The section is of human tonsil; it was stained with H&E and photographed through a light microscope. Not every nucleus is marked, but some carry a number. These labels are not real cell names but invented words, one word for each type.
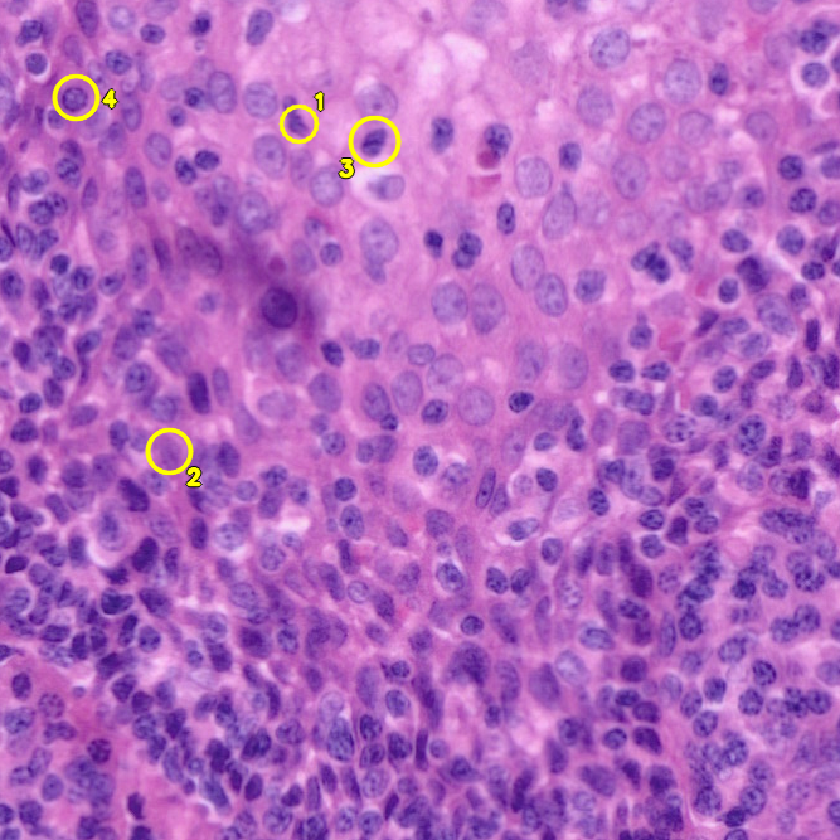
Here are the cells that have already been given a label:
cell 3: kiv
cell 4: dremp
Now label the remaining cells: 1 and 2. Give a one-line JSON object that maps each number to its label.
{"1": "kiv", "2": "kiv"}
